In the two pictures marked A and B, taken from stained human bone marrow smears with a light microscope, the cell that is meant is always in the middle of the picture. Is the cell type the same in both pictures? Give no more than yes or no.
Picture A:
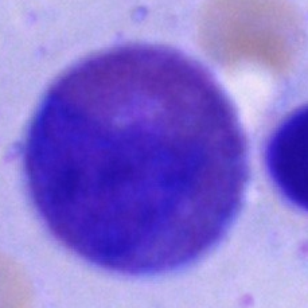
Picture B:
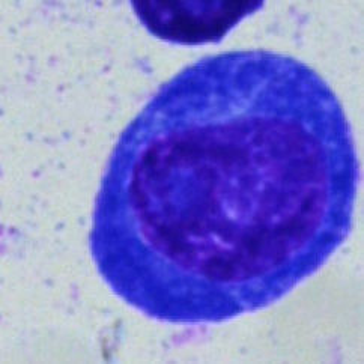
no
